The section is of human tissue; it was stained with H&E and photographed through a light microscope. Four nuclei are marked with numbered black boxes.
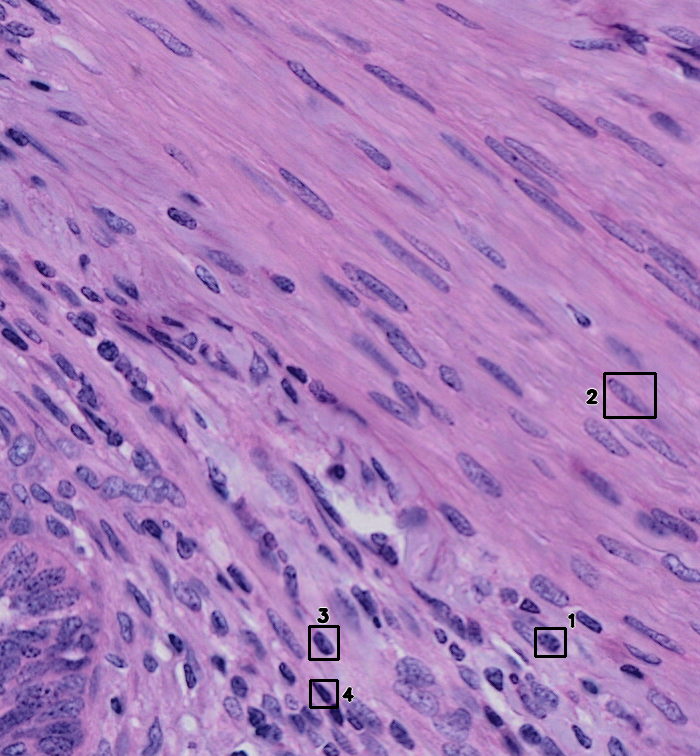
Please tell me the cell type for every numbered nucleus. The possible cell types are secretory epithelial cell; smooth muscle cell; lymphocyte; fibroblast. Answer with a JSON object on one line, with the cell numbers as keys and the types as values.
{"1": "lymphocyte", "2": "smooth muscle cell", "3": "lymphocyte", "4": "lymphocyte"}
